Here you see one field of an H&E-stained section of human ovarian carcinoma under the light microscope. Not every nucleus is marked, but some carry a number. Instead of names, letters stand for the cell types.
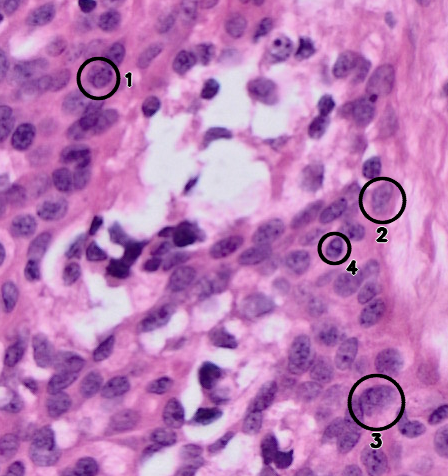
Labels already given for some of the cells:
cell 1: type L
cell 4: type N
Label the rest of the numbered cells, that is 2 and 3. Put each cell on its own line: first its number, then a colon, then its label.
2: type L
3: type L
